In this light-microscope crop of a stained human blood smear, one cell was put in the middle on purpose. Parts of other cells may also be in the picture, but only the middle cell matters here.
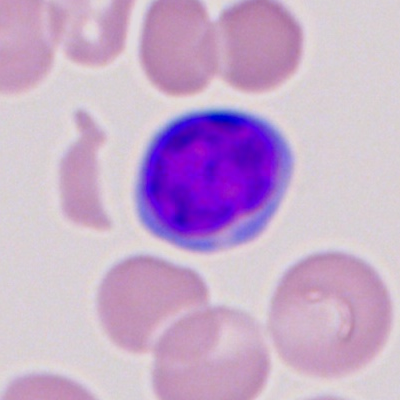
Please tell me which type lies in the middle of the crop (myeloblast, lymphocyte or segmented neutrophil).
lymphocyte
